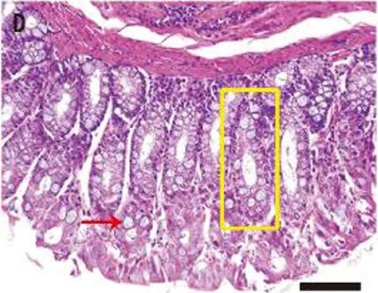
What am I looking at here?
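Colonic mucosa with epithelial crypts cut partly lengthwise and partly obliquely, resting on a pink band of smooth muscle. The crypts are lined by columnar cells with purple nuclei interspersed with goblet cells showing clear rounded vacuoles. Cellular lamina propria lies between the glands, and the surface epithelium forms the lower edge of the section.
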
